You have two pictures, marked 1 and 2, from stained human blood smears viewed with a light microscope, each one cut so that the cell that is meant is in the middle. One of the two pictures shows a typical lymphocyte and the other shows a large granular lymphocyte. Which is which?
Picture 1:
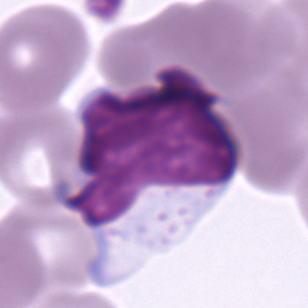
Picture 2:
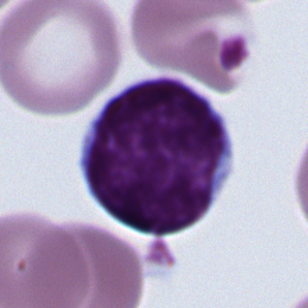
1: large granular lymphocyte
2: typical lymphocyte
